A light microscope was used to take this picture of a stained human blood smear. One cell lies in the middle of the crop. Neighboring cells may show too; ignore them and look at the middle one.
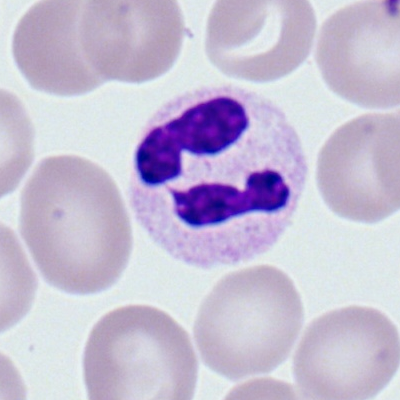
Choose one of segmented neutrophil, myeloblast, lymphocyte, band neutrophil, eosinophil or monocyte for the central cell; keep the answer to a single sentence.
This crop is built around a segmented neutrophil at its centre.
